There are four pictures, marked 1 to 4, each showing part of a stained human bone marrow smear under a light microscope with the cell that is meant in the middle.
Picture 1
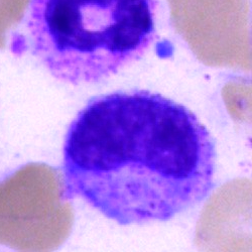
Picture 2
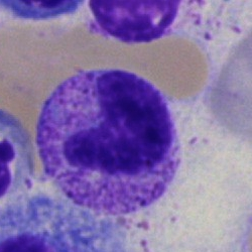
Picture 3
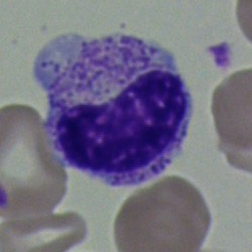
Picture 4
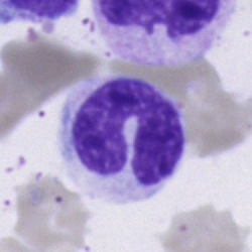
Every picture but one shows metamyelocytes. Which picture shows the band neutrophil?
4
